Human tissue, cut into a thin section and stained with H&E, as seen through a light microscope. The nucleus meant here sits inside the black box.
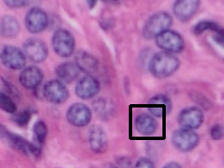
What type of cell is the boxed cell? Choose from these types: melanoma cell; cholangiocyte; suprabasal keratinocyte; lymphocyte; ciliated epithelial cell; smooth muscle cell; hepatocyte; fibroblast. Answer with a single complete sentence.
The cell type represented by the boxed cell is that of a cholangiocyte.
